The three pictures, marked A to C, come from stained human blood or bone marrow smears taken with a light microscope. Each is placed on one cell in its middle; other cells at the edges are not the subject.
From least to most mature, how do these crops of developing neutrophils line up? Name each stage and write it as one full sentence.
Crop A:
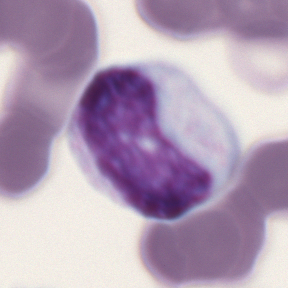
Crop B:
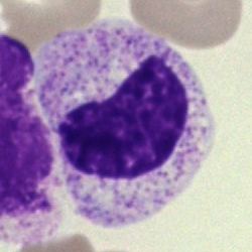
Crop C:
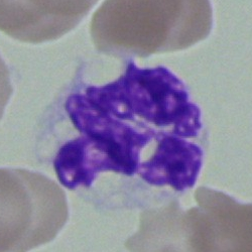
In order from least mature to most mature, the crops stand crop B (a metamyelocyte), crop A (a band neutrophil) and crop C (a segmented neutrophil).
